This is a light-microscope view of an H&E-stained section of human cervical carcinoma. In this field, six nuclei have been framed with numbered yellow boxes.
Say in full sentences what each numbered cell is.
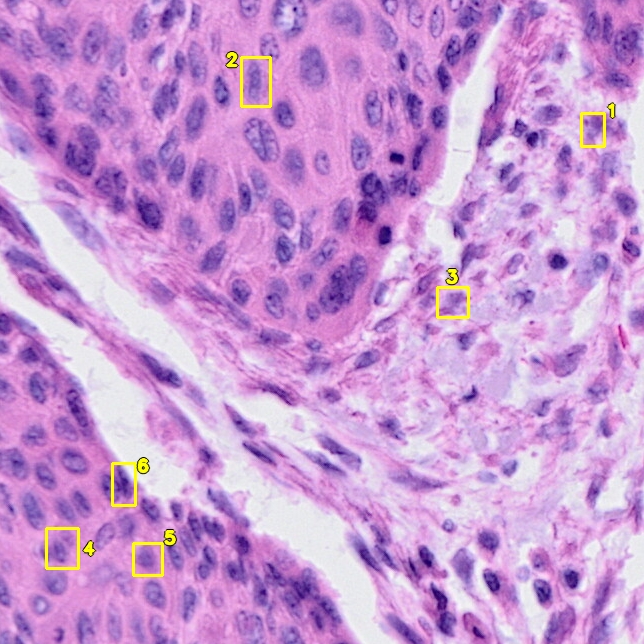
Cell 1 is a fibroblast, cell 2 is a squamous carcinoma cell, cell 3 is a fibroblast, cell 4 is a squamous carcinoma cell, cell 5 is a squamous carcinoma cell and cell 6 is a squamous carcinoma cell.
